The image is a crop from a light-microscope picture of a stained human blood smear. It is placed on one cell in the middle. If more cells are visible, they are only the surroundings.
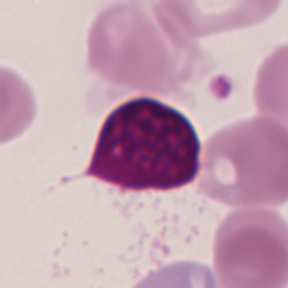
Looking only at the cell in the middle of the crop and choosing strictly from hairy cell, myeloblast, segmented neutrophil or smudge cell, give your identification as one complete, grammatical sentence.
The middle of this crop is occupied by a smudge cell.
